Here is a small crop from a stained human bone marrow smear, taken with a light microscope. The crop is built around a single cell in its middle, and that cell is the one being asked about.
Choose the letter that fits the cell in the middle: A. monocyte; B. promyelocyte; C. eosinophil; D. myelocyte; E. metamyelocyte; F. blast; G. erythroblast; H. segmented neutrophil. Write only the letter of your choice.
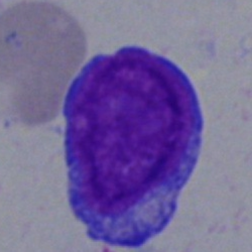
F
